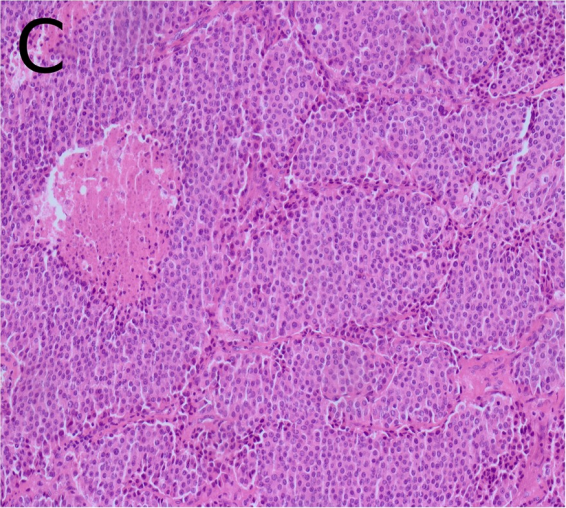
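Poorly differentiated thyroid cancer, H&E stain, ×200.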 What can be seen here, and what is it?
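A tumour growing in an insular pattern: large rounded nests of closely packed, uniform cells separated by thin pink fibrovascular septa. The cells have small round, fairly monotonous nuclei and a moderate amount of pink cytoplasm. The nests show no follicle formation. In the upper left, the centre of one nest is replaced by pale pink, granular necrotic debris with scattered nuclear fragments. A rim of viable tumour cells surrounds this focus.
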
